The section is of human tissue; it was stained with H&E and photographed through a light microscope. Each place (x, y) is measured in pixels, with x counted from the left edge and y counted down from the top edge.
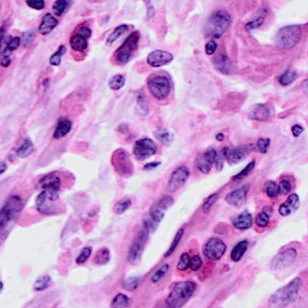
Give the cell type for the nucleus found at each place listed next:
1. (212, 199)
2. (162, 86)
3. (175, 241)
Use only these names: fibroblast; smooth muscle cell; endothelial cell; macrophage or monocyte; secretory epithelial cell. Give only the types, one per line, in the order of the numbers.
endothelial cell
macrophage or monocyte
endothelial cell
